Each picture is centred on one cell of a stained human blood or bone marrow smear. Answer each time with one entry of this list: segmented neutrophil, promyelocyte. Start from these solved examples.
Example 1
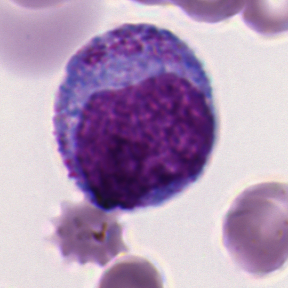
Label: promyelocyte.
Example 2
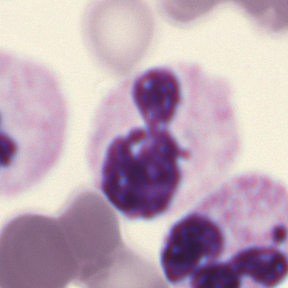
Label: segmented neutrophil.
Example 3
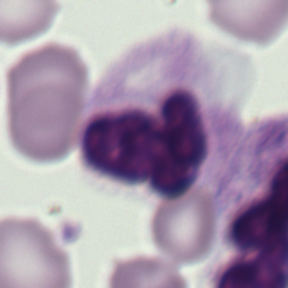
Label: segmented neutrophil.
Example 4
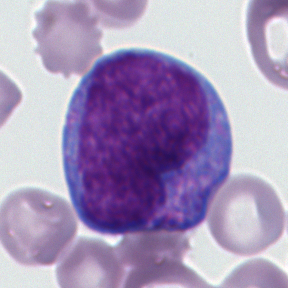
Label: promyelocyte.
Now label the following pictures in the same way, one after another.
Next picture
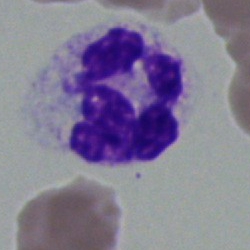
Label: segmented neutrophil.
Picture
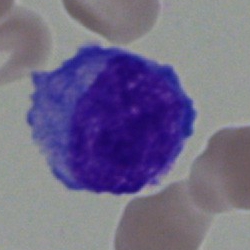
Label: promyelocyte.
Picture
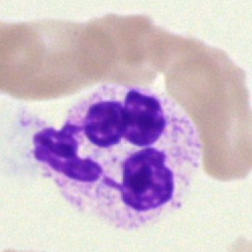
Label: segmented neutrophil.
